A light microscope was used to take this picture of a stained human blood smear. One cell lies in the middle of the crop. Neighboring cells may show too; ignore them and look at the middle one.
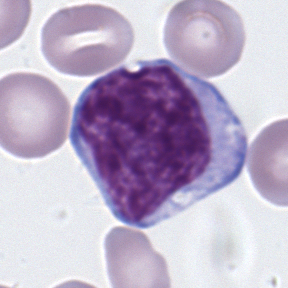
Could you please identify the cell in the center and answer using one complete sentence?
The target cell in the middle of the crop is a blast.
